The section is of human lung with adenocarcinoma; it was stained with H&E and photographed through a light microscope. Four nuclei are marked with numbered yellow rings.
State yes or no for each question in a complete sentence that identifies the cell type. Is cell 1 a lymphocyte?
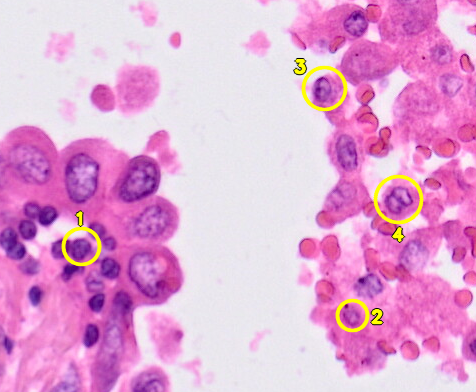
Yes, it is a lymphocyte that number 1 identifies.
